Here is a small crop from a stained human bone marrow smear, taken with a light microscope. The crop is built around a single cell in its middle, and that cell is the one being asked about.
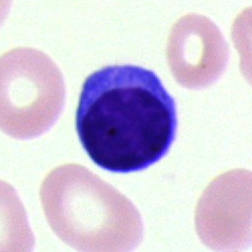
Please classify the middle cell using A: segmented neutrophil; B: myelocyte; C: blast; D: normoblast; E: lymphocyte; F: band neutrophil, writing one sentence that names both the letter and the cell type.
Identification: the cell in the middle is a lymphocyte, matching option E.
